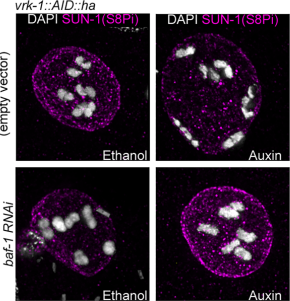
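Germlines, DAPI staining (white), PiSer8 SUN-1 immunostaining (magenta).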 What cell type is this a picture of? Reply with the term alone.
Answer: Oocytes.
